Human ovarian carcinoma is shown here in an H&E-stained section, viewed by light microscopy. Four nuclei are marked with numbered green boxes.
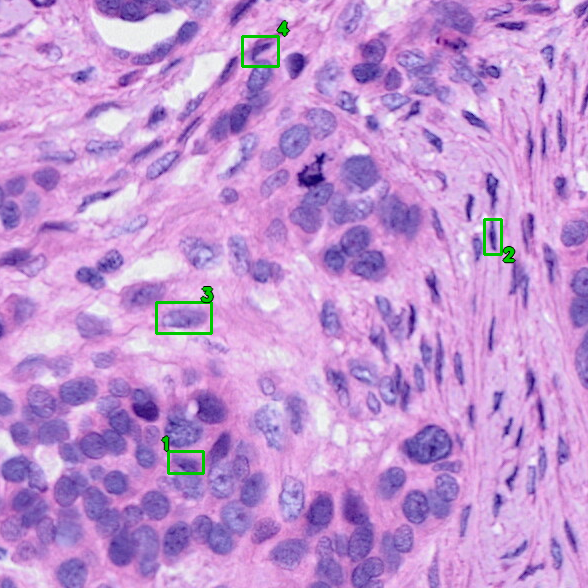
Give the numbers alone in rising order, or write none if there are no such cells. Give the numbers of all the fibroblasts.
2, 3, 4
